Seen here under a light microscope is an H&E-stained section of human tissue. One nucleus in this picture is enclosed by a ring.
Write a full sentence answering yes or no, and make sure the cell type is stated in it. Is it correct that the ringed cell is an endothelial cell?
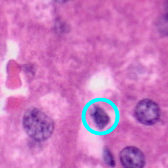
Yes, the ringed cell in this field is an endothelial cell.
